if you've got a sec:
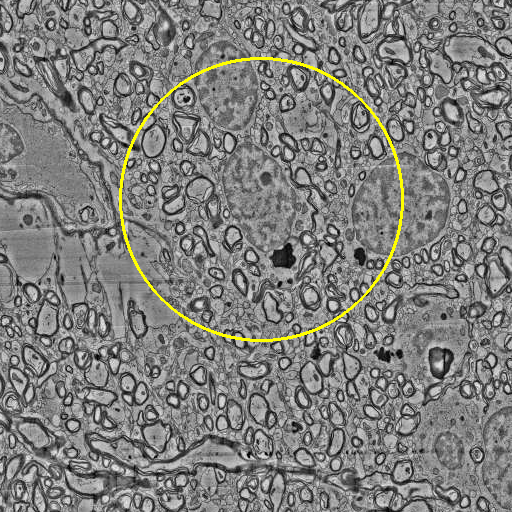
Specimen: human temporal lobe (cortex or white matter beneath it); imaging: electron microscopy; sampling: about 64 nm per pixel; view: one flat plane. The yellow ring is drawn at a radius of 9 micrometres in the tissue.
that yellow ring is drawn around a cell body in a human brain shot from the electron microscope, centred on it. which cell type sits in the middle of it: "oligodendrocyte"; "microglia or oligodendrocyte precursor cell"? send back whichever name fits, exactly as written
oligodendrocyte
